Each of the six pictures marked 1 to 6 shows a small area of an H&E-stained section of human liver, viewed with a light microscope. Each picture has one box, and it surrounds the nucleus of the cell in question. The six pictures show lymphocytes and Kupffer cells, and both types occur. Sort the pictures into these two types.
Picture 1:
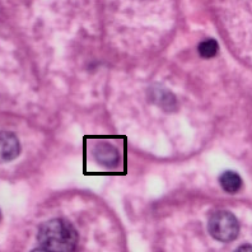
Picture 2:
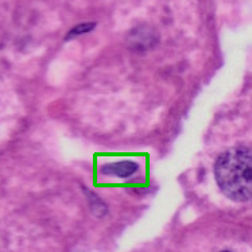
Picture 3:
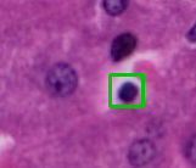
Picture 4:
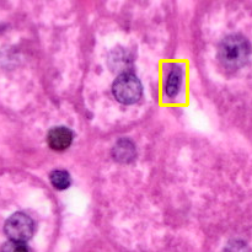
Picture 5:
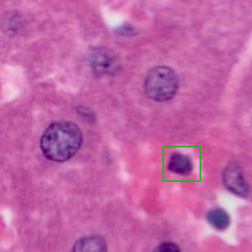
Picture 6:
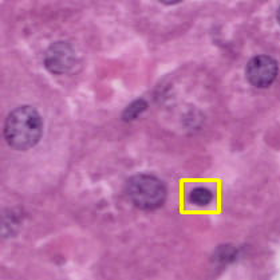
1: Kupffer cell
2: lymphocyte
3: lymphocyte
4: Kupffer cell
5: lymphocyte
6: lymphocyte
